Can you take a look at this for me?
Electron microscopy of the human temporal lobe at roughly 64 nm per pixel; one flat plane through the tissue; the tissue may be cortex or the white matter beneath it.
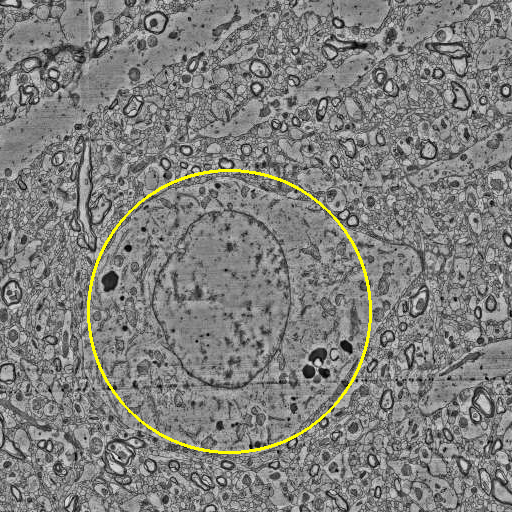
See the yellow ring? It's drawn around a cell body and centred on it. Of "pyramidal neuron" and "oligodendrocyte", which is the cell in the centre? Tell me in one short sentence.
The one in the centre is a pyramidal neuron.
